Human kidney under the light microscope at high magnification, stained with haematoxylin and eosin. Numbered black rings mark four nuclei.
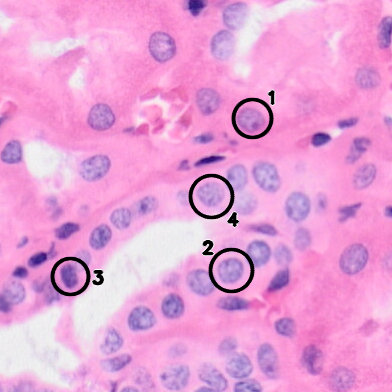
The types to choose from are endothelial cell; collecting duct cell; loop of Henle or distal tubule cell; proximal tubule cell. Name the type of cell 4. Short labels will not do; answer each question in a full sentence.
The cell indicated by marker 4 is a collecting duct cell in this section.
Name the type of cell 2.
The mark numbered 2 indicates the nucleus of a collecting duct cell.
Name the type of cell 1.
The cell pointed out by number 1 is a proximal tubule cell.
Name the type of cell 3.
The correct label for cell 3 is a collecting duct cell.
